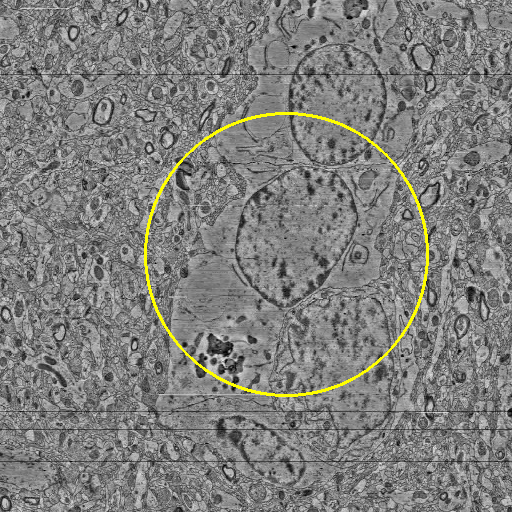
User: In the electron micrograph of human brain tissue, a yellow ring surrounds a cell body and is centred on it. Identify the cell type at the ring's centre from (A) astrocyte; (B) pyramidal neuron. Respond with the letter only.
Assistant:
A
